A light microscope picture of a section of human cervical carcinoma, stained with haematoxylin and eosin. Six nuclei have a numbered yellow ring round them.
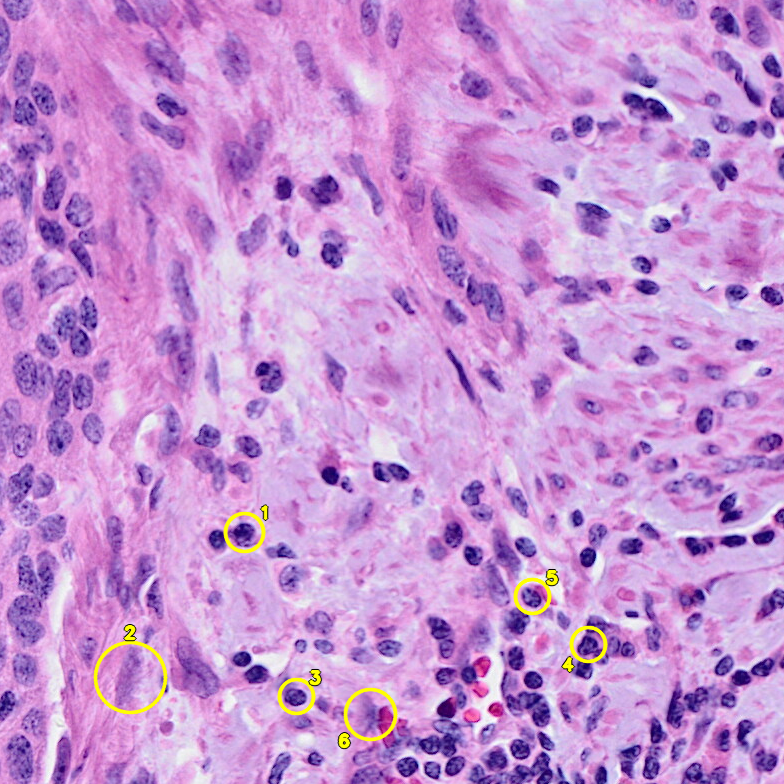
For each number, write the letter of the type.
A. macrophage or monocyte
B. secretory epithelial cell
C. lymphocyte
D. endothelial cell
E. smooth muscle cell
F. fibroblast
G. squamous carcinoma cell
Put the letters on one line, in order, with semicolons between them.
C; F; C; C; C; D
